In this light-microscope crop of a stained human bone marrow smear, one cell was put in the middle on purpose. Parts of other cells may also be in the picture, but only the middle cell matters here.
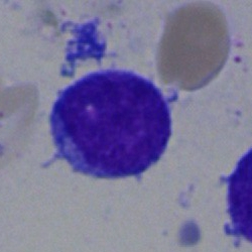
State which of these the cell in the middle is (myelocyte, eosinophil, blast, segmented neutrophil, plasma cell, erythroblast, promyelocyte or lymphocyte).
blast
